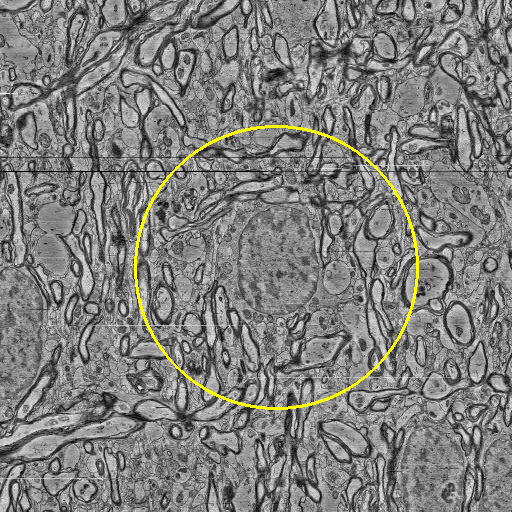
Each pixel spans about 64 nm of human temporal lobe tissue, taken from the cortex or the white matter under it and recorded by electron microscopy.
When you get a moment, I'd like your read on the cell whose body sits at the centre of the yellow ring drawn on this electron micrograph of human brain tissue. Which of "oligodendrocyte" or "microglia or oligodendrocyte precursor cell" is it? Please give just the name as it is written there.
oligodendrocyte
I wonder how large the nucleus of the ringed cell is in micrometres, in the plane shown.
In this plane, about 7 micrometres in length and 6 in width.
